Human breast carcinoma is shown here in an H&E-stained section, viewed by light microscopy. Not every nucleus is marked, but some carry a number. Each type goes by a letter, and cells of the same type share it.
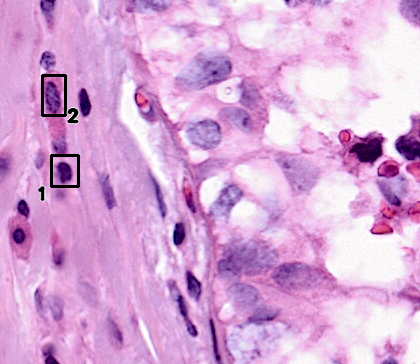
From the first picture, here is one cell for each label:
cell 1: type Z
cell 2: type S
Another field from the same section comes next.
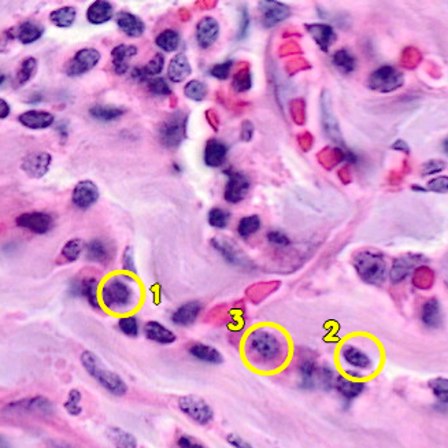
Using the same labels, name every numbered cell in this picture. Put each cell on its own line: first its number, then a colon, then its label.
1: type Z
2: type Z
3: type S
